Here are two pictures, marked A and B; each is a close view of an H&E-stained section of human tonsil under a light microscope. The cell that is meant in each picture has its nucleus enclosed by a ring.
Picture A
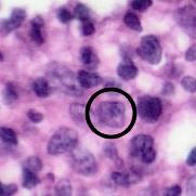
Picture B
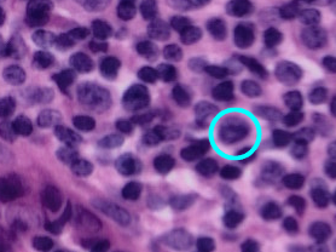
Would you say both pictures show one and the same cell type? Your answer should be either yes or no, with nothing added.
yes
